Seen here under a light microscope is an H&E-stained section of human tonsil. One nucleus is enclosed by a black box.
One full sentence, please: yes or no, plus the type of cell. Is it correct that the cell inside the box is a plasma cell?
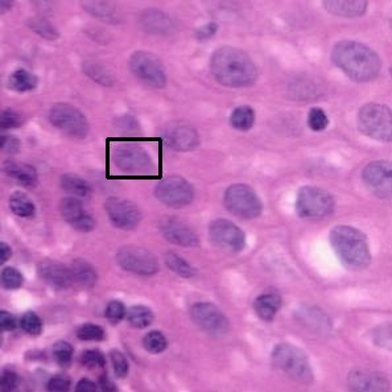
No, the cell inside the box is simply a squamous epithelial cell rather than a plasma cell.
